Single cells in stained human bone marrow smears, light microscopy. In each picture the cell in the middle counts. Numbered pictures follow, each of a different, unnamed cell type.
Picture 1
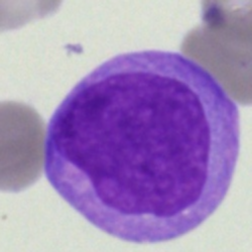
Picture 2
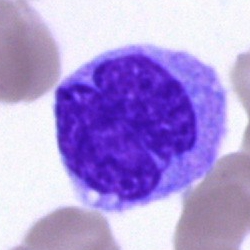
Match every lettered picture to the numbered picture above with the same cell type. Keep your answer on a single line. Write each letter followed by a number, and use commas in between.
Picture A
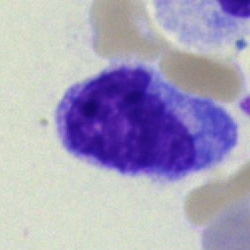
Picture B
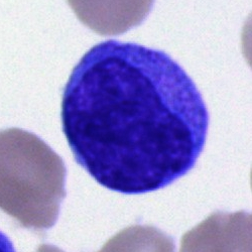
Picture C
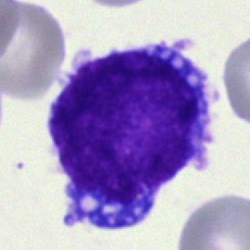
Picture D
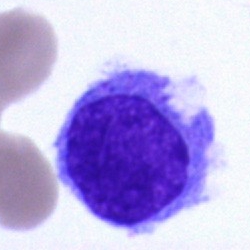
A 2, B 1, C 1, D 1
